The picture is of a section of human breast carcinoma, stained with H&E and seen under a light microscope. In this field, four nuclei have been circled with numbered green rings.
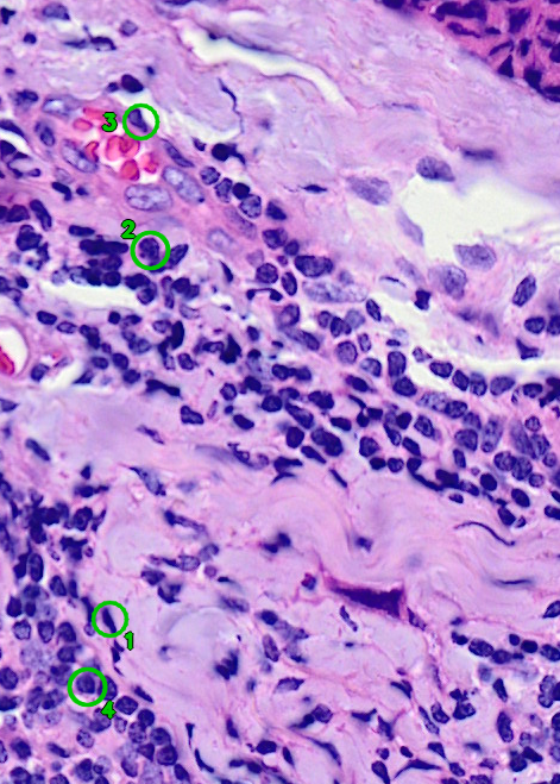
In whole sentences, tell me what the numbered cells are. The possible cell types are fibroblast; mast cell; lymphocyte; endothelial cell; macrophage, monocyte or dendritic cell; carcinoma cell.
Cell 1 is a lymphocyte, cell 2 is a lymphocyte, cell 3 is an endothelial cell and cell 4 is a lymphocyte.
